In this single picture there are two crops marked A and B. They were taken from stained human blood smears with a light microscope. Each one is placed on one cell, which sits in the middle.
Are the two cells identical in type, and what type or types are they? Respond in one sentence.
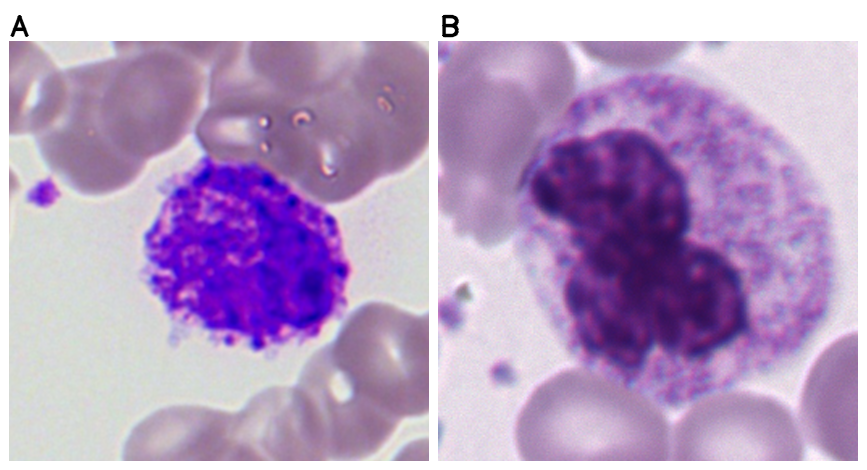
No, the cells are a basophil in crop A and a segmented neutrophil in crop B.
